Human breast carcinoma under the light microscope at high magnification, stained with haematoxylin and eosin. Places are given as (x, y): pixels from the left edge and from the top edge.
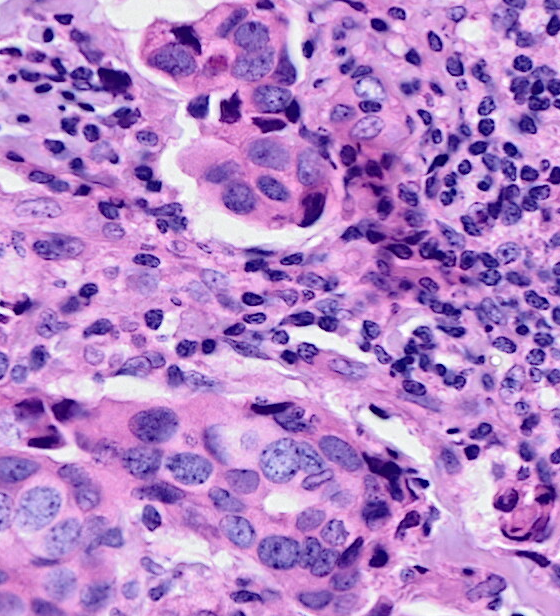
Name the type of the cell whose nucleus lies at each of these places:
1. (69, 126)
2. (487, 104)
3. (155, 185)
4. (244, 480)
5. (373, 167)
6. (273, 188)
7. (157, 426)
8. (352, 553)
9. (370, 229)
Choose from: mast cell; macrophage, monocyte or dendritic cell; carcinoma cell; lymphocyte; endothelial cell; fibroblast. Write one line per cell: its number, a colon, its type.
1: lymphocyte
2: lymphocyte
3: lymphocyte
4: carcinoma cell
5: lymphocyte
6: carcinoma cell
7: carcinoma cell
8: carcinoma cell
9: lymphocyte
